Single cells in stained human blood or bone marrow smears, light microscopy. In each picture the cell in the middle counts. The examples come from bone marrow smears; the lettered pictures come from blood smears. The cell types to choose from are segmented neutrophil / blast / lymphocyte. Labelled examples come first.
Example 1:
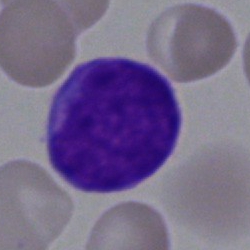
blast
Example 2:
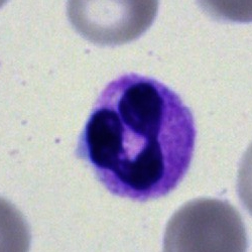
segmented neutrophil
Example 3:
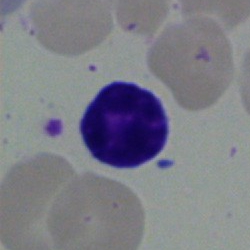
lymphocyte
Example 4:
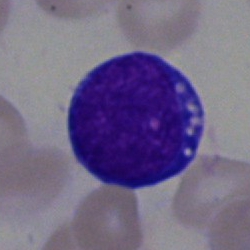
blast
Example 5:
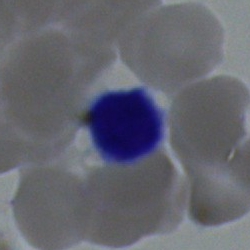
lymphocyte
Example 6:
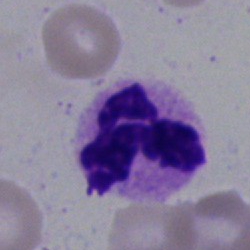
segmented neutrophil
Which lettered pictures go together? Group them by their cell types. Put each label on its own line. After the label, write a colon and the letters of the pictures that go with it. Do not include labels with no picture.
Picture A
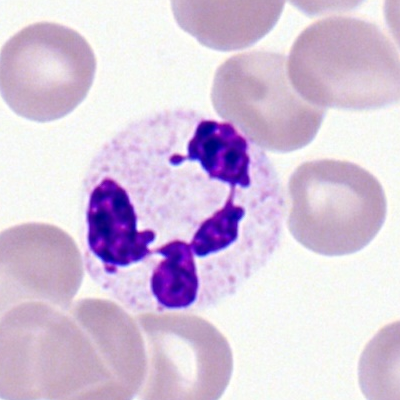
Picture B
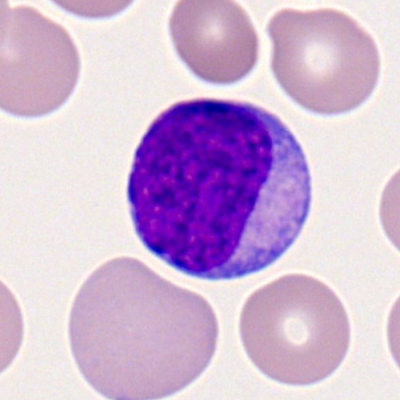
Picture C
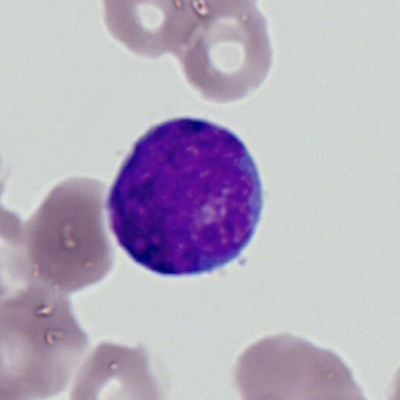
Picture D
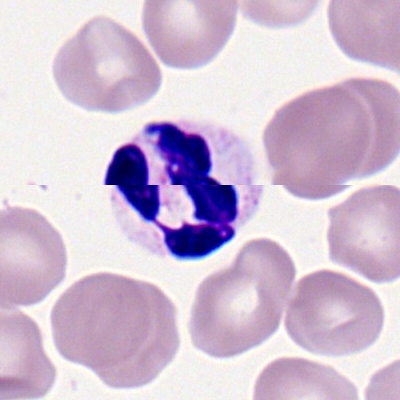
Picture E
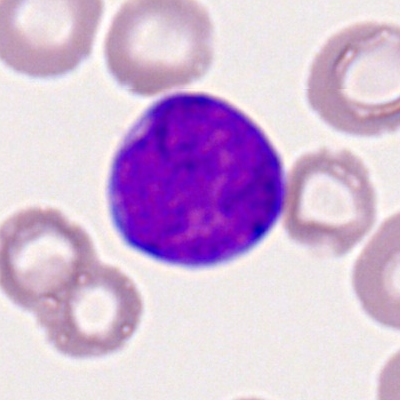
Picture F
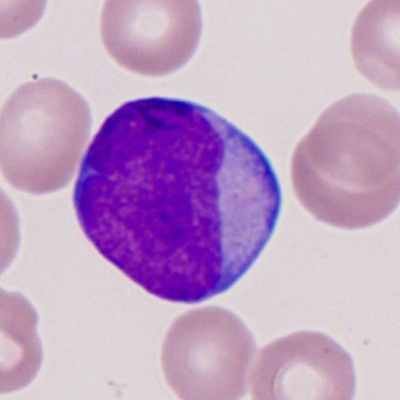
segmented neutrophil: A, D
blast: B, C, E, F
